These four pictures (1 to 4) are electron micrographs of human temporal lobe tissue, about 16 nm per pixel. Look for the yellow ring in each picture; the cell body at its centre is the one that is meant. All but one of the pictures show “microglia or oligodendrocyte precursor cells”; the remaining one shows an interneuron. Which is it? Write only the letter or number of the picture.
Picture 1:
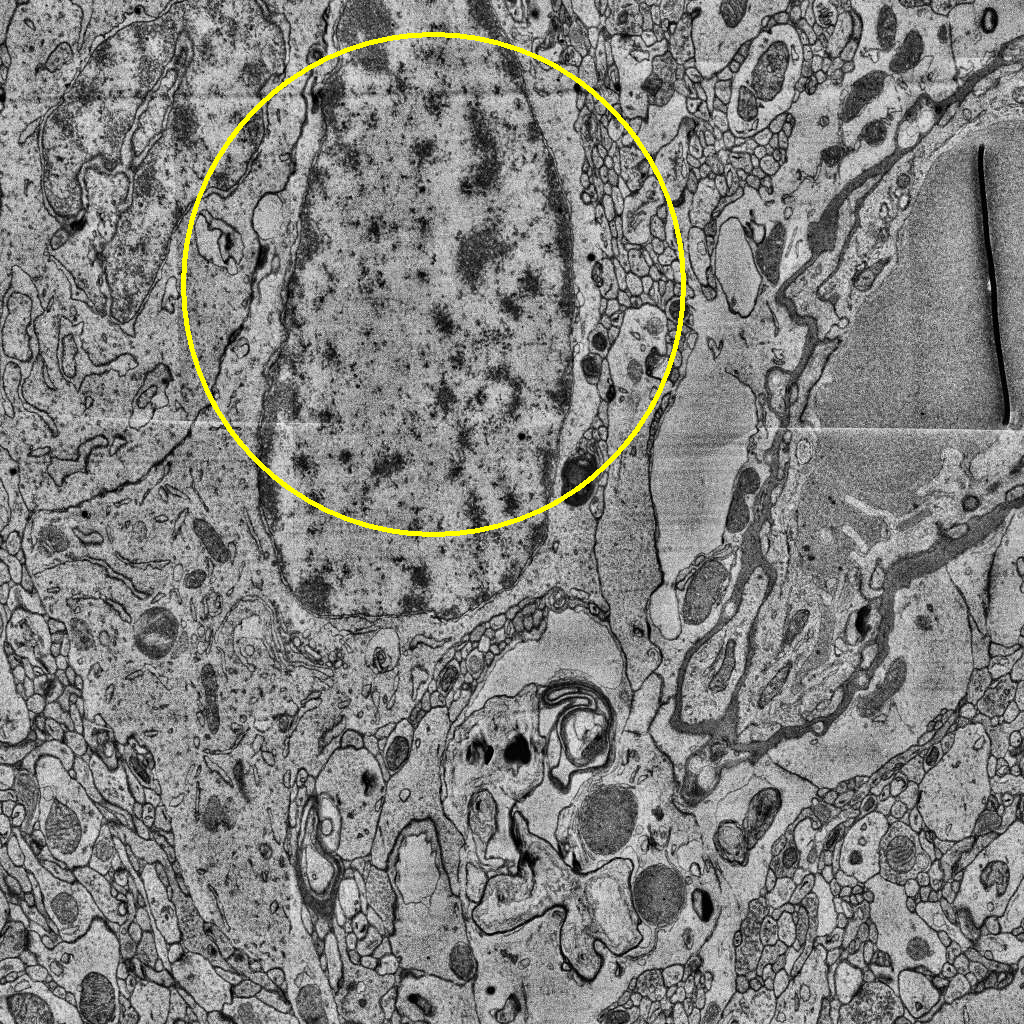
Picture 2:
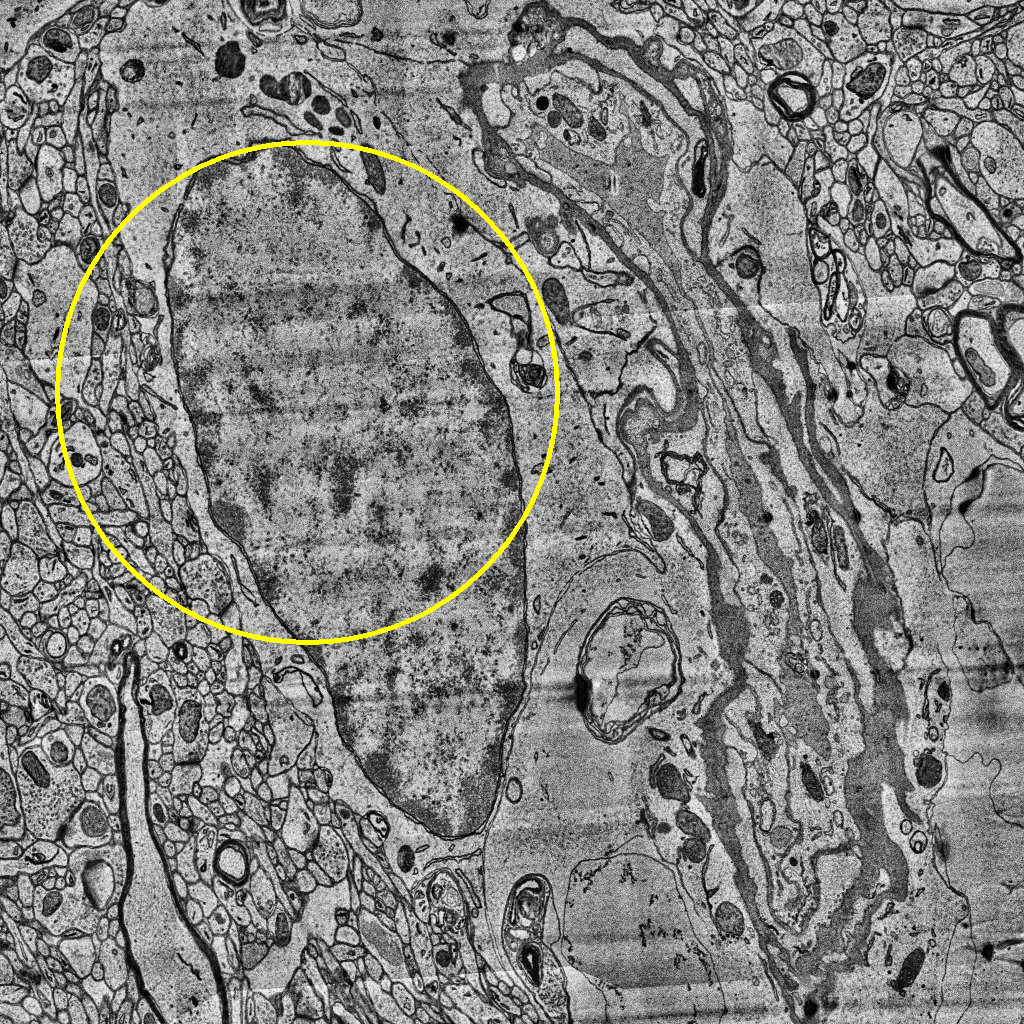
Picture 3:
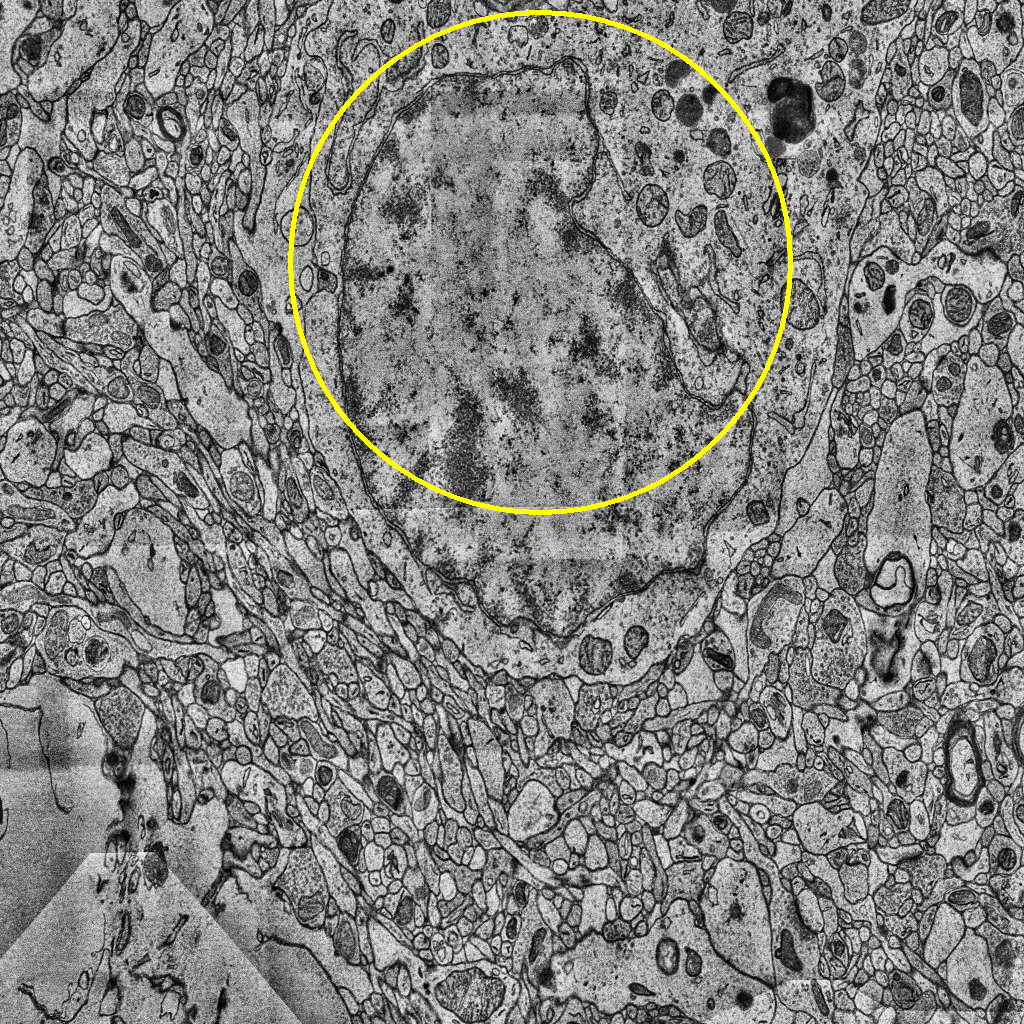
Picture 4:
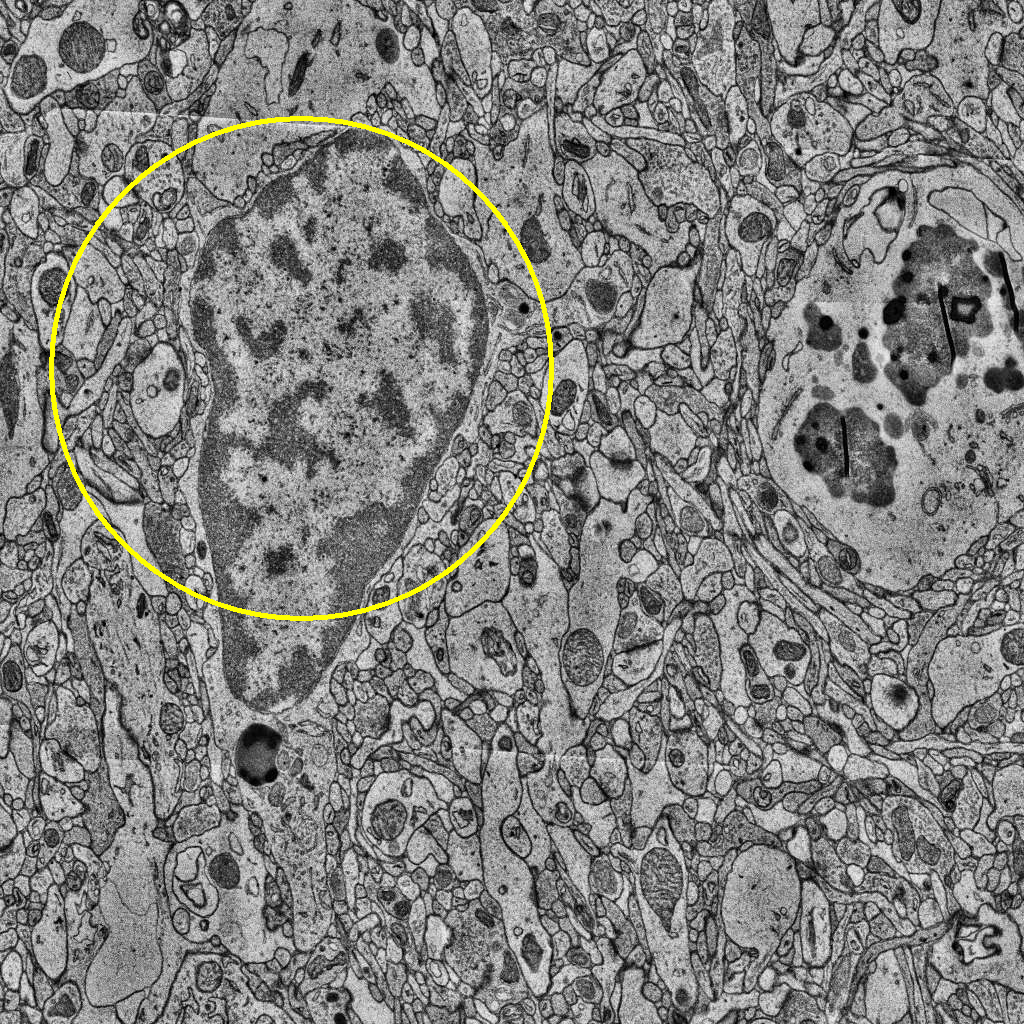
3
